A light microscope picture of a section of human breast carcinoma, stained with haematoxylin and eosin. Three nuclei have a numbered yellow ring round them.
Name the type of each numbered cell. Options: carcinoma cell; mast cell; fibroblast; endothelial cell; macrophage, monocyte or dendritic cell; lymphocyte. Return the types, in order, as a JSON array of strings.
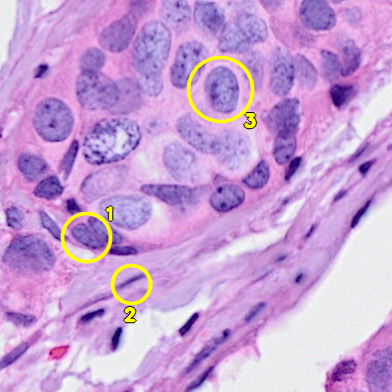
["carcinoma cell", "fibroblast", "carcinoma cell"]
